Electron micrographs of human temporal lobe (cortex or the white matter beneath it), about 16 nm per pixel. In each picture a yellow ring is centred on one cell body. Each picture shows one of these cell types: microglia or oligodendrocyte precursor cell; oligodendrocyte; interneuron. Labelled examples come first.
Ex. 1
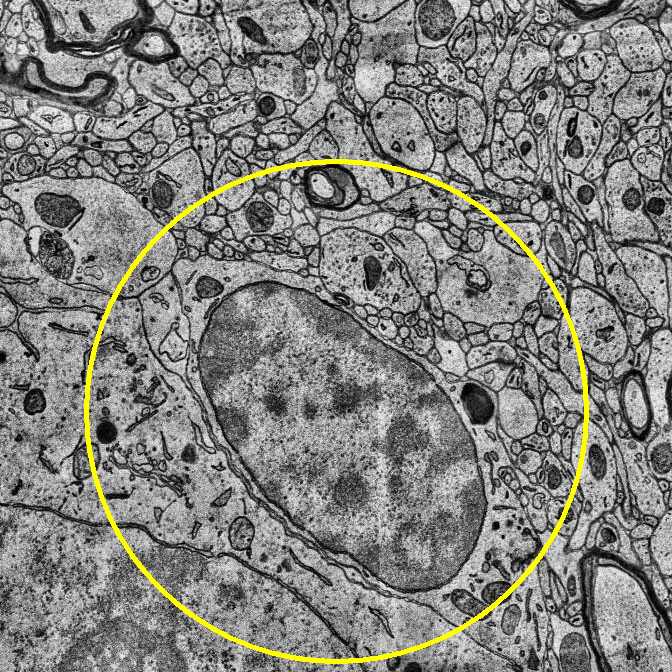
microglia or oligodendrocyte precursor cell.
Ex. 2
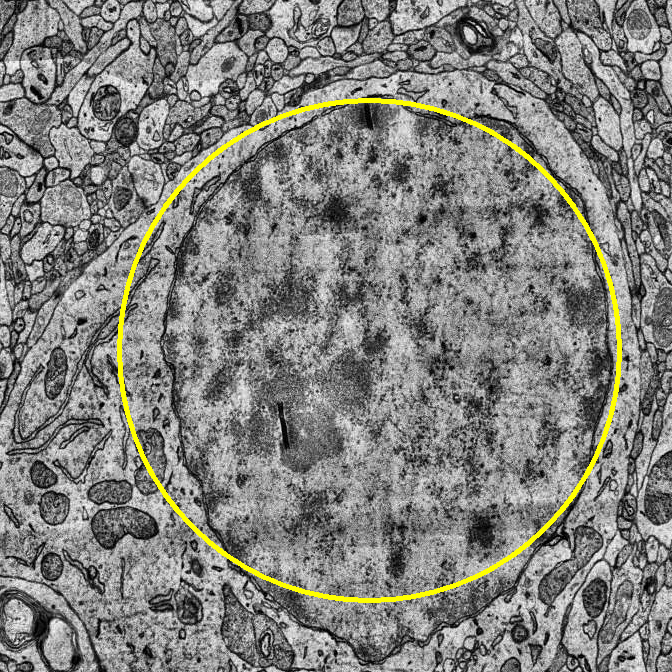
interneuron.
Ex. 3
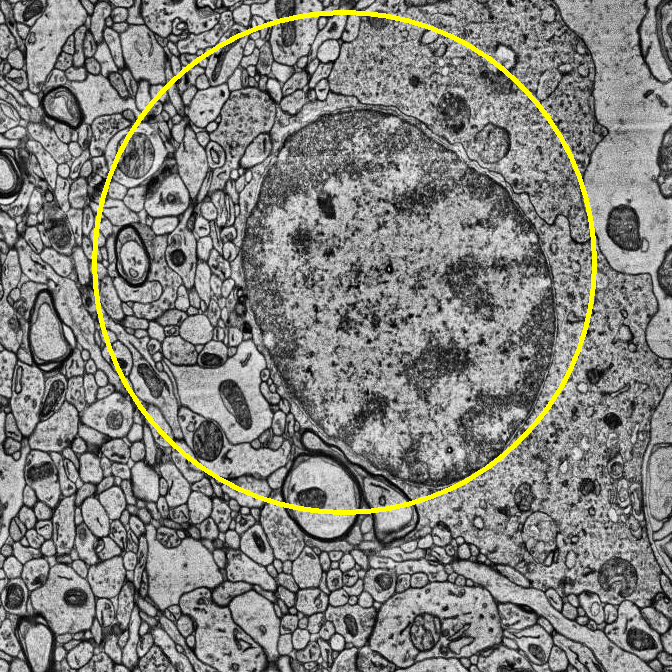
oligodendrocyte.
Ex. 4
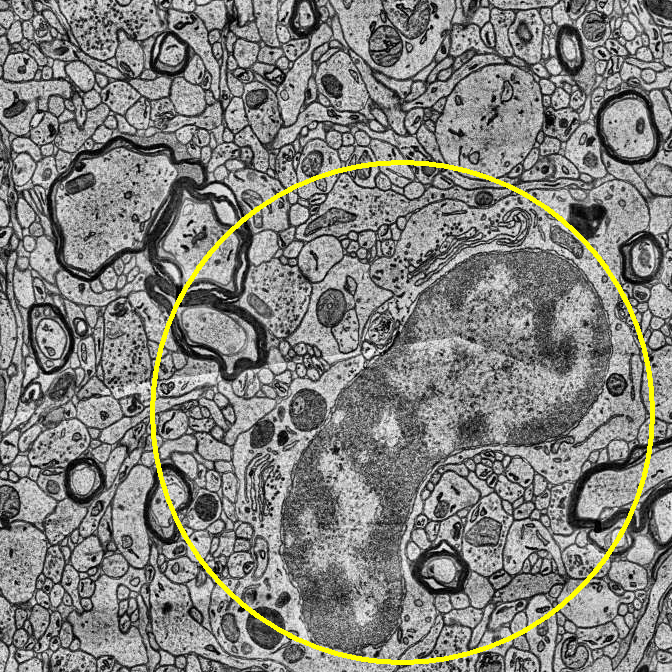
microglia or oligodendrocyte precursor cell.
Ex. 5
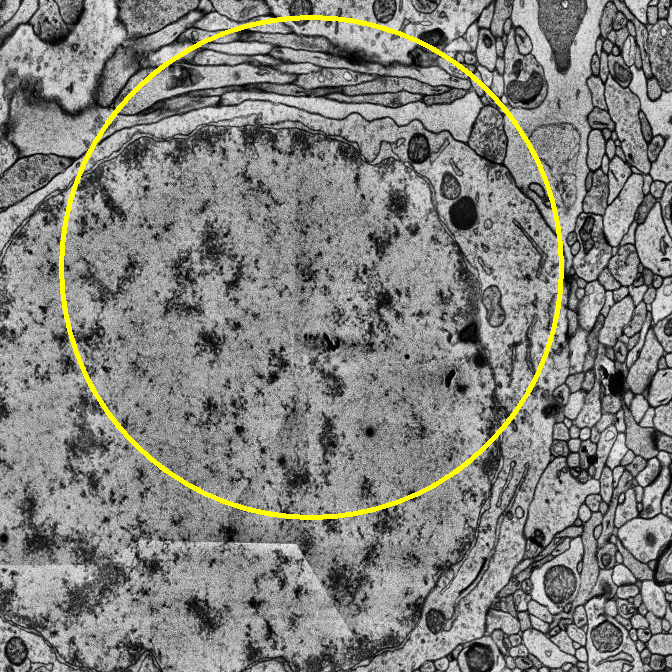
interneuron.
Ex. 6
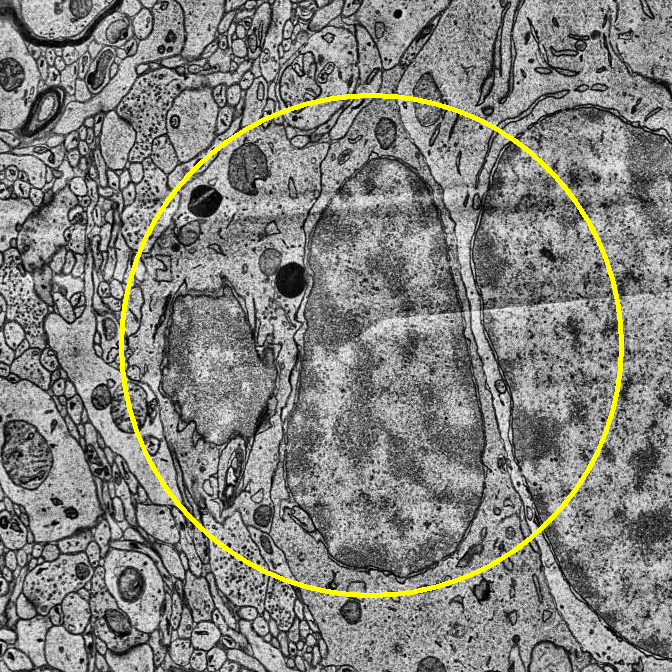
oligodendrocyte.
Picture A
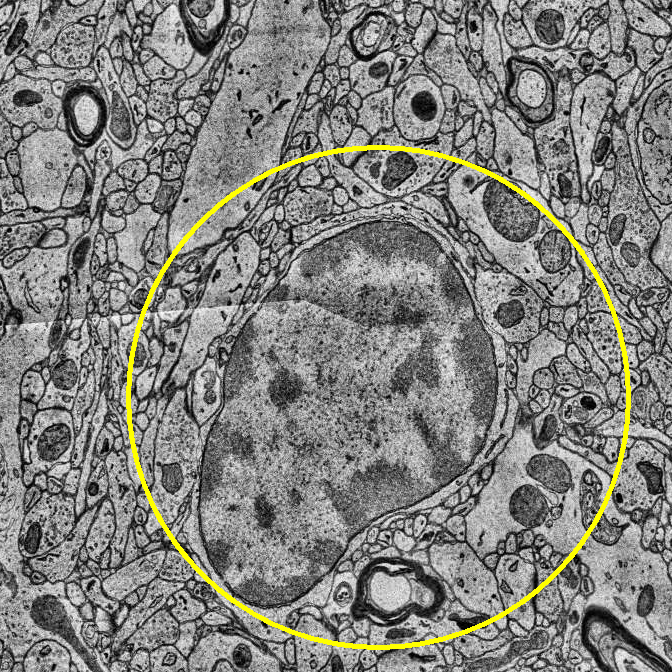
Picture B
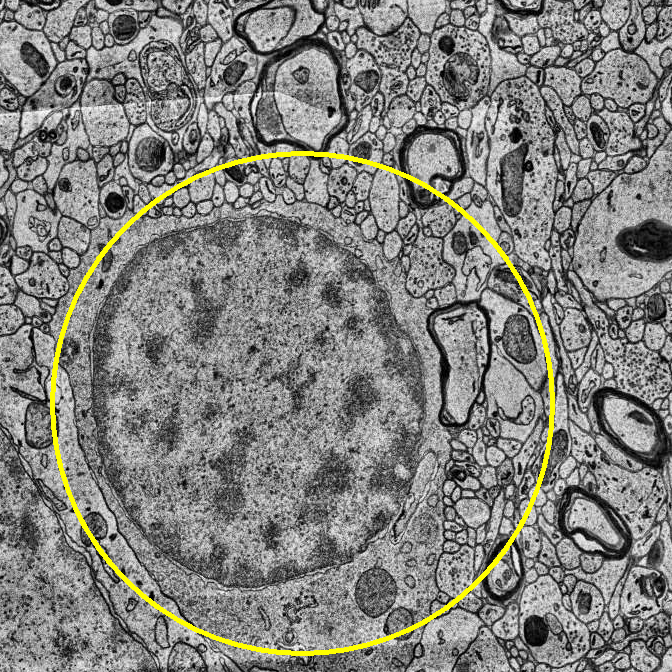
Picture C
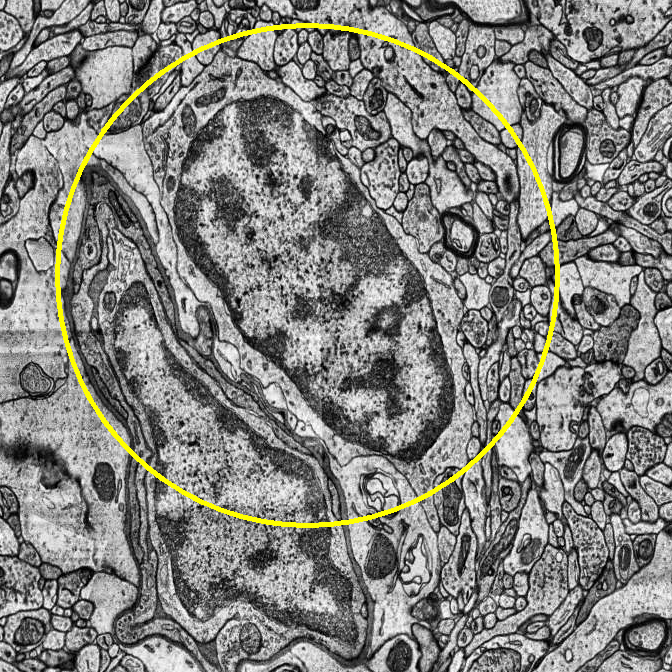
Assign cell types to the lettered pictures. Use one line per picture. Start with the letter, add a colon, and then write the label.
A: microglia or oligodendrocyte precursor cell.
B: oligodendrocyte.
C: microglia or oligodendrocyte precursor cell.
